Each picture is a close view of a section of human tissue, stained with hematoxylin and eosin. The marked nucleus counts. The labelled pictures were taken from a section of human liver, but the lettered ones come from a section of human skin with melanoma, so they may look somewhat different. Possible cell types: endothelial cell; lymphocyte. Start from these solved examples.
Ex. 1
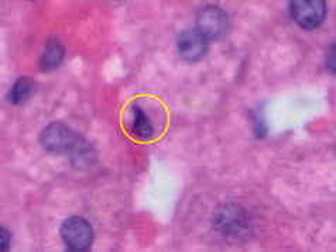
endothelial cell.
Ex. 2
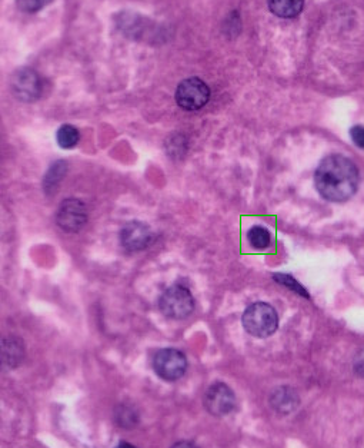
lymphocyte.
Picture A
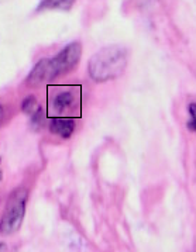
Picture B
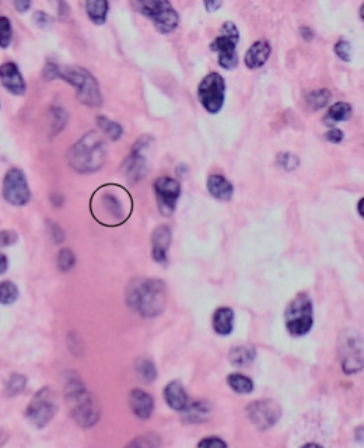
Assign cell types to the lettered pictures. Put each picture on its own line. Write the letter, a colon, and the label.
A: endothelial cell.
B: endothelial cell.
